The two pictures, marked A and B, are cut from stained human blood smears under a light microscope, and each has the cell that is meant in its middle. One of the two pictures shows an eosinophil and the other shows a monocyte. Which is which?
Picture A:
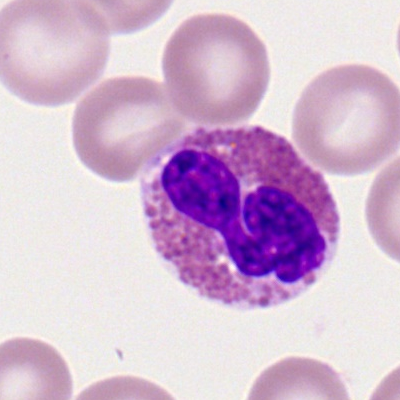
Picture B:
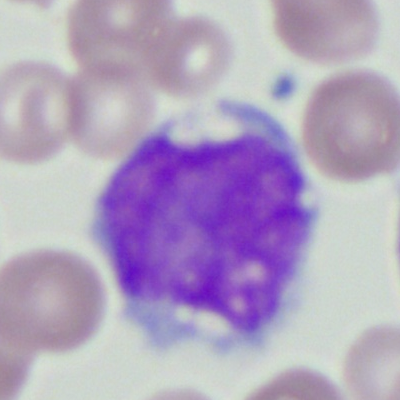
A: eosinophil
B: monocyte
